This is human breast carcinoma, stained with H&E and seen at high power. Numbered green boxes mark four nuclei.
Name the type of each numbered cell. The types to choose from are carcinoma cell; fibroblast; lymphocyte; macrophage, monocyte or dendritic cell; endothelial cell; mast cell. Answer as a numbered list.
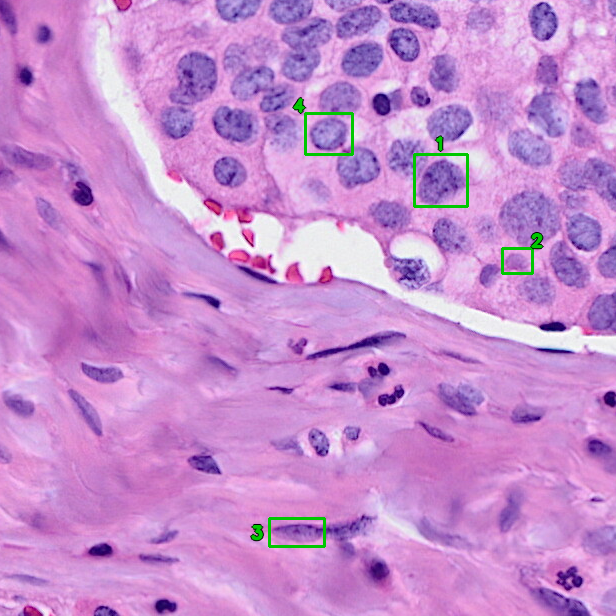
1. carcinoma cell
2. carcinoma cell
3. fibroblast
4. carcinoma cell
